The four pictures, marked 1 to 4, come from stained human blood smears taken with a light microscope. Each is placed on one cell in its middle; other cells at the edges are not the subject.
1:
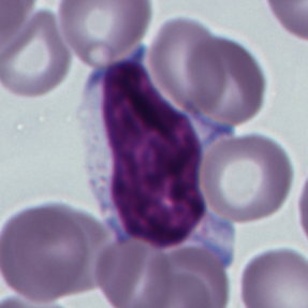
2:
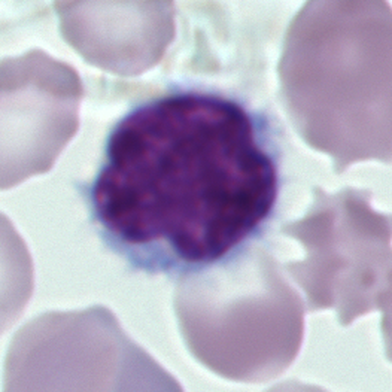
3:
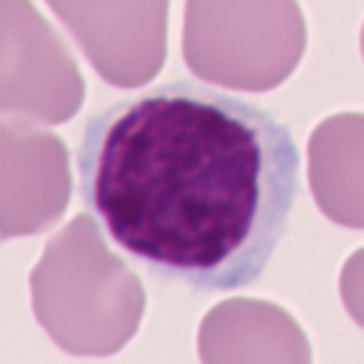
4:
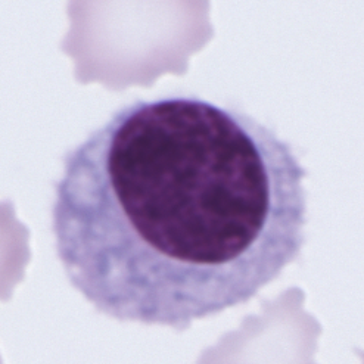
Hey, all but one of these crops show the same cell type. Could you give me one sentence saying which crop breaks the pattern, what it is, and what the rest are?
In every crop except crop 1, which shows a typical lymphocyte, hairy cells are shown.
